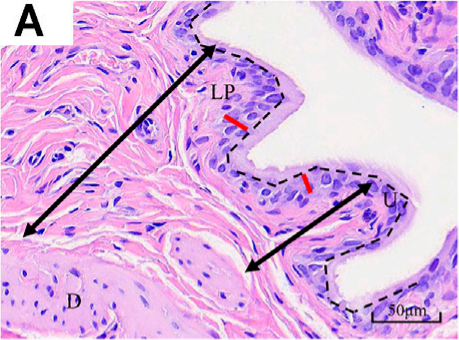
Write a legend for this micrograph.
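A section of bladder wall shows folded urothelium lining an empty lumen, with lamina propria beneath and smooth muscle bundles at the bottom left. The urothelium is a thin layer, a few cells deep, of cells with round to oval purple nuclei and pale pinkish-violet cytoplasm; the luminal surface bears a thin pale pink film. Beneath it the lamina propria is loose pink connective tissue with wavy collagen fibres and scattered spindle-shaped nuclei.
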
